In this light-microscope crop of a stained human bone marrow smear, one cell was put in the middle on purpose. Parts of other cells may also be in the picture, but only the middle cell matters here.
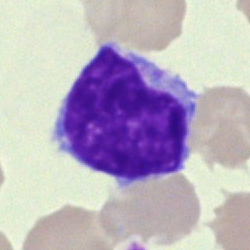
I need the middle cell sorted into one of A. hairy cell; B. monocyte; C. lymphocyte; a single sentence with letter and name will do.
The central cell in this crop is a lymphocyte, corresponding to option C, the correct option.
